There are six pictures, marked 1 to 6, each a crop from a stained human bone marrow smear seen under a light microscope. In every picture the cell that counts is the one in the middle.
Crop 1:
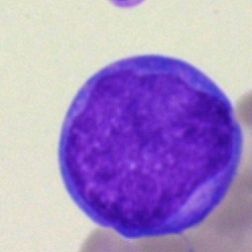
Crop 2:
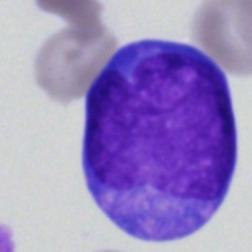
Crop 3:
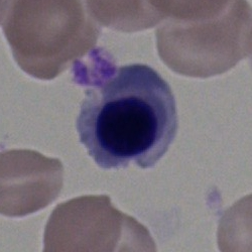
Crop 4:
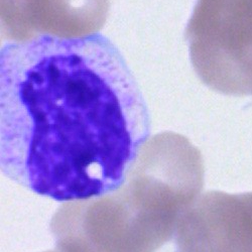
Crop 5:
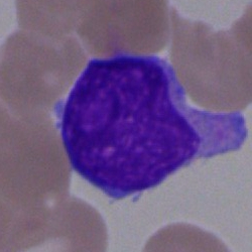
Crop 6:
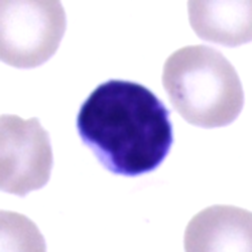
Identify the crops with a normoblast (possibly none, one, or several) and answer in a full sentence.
Crop 3 contains a normoblast, whereas the other crops contain none.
